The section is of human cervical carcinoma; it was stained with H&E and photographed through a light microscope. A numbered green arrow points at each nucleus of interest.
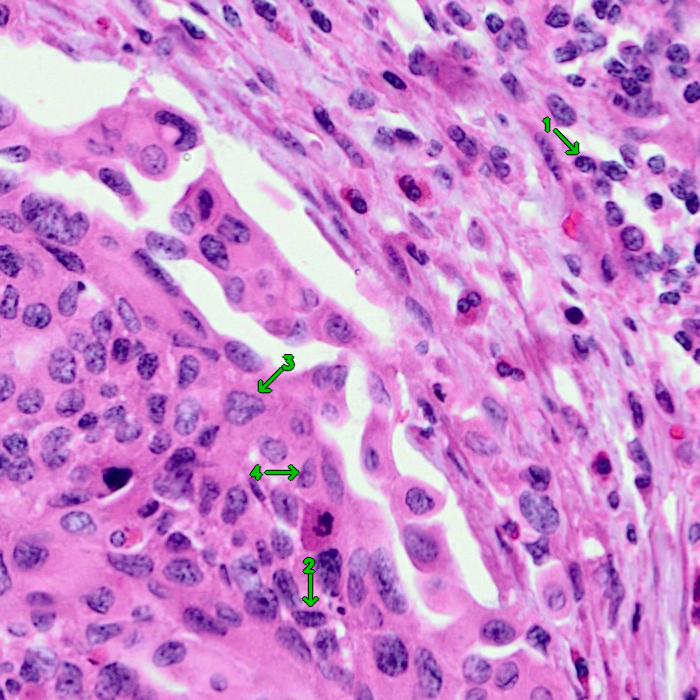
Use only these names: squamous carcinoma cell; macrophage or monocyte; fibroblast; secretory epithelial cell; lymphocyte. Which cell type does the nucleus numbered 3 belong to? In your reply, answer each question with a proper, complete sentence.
That cell with number 3 is a squamous carcinoma cell.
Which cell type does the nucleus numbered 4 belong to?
The numbered cell 4 is identified here as a squamous carcinoma cell.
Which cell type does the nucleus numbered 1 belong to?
The one labeled 1 is a lymphocyte, to put it simply.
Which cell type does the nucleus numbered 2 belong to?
Here the cell numbered 2 is a squamous carcinoma cell.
